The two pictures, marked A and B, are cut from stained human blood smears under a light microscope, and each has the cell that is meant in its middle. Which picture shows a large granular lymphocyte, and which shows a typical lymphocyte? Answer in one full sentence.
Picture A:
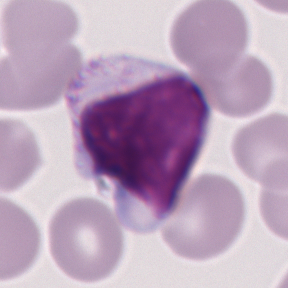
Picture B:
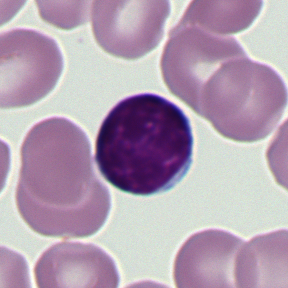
It is picture A that shows a large granular lymphocyte, and picture B that shows a typical lymphocyte.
